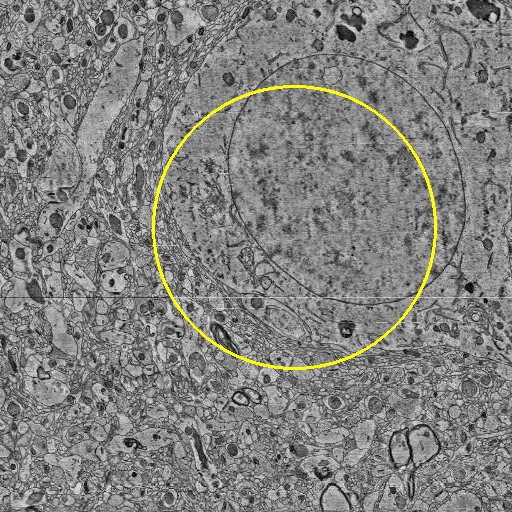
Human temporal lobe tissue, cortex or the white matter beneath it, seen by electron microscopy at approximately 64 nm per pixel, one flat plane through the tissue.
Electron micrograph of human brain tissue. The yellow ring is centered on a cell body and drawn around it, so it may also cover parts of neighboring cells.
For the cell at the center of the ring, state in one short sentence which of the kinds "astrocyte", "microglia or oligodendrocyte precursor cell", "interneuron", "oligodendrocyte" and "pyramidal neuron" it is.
This ring is centered on a pyramidal neuron.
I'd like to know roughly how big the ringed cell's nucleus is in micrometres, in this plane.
In this plane the nucleus spans approximately 17 by 14 micrometers.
